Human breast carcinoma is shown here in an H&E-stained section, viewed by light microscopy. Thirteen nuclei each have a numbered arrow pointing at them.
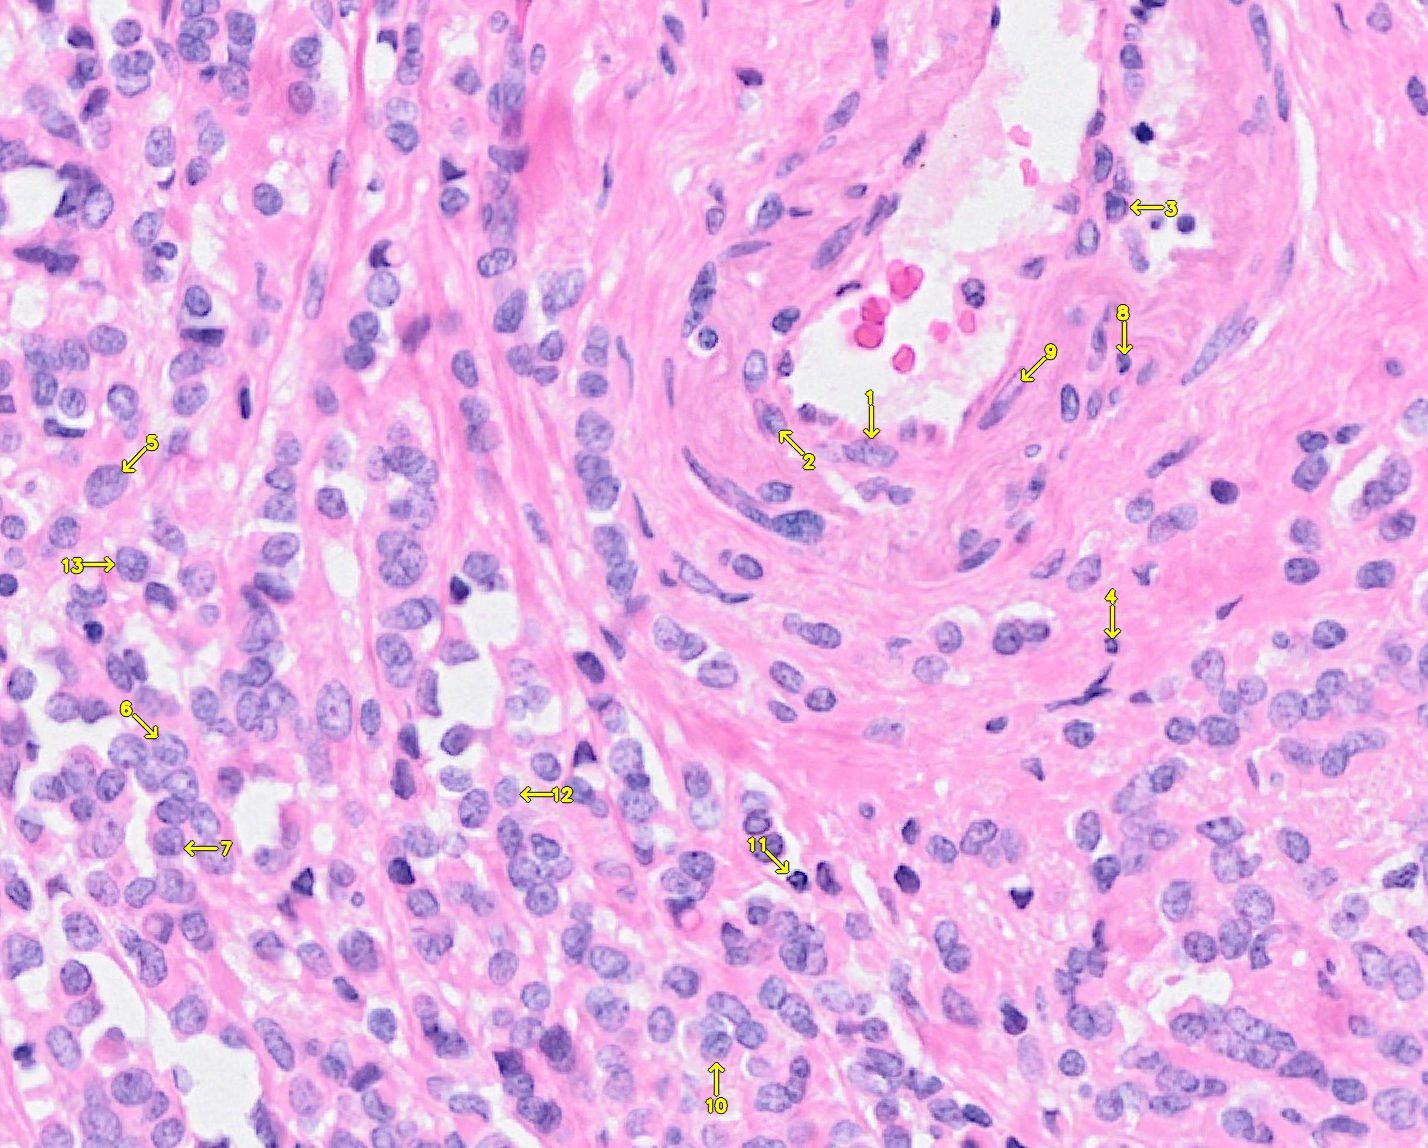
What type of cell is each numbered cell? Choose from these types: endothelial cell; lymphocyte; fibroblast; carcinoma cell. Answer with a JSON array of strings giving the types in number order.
["endothelial cell", "endothelial cell", "endothelial cell", "endothelial cell", "carcinoma cell", "carcinoma cell", "carcinoma cell", "endothelial cell", "endothelial cell", "carcinoma cell", "lymphocyte", "carcinoma cell", "carcinoma cell"]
